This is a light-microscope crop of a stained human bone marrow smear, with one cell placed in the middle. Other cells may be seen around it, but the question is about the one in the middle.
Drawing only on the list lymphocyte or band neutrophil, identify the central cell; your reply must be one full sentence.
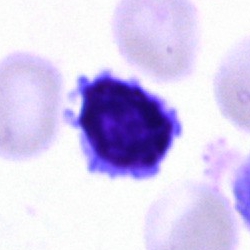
Seen at the centre of the crop is a lymphocyte.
